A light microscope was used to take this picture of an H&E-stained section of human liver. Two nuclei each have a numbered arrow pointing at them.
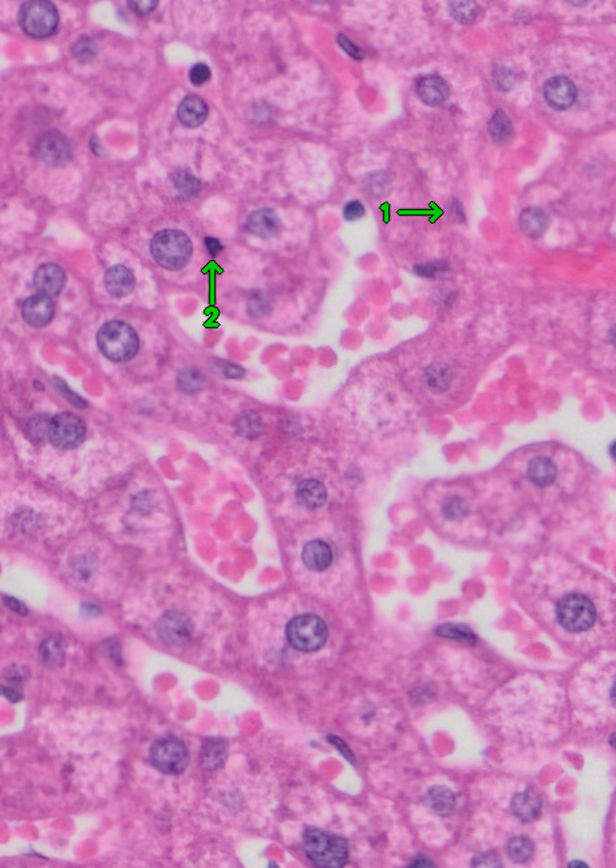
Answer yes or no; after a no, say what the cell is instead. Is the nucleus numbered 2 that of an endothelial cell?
No, it is a fibroblast or stellate cell.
